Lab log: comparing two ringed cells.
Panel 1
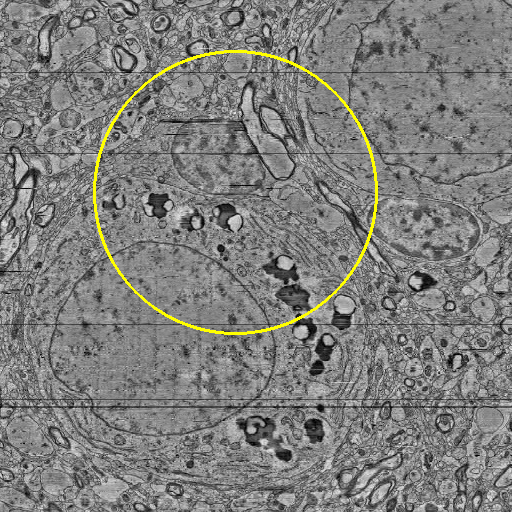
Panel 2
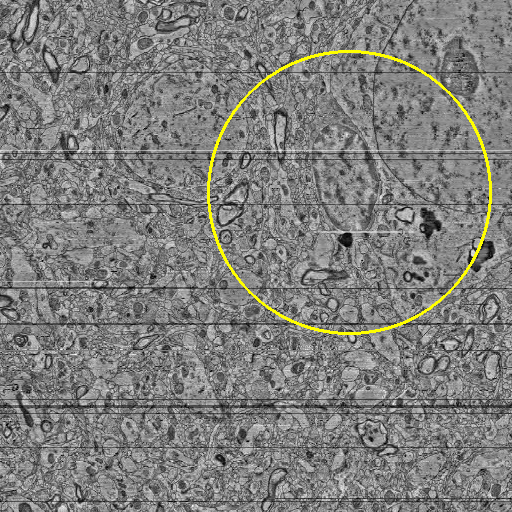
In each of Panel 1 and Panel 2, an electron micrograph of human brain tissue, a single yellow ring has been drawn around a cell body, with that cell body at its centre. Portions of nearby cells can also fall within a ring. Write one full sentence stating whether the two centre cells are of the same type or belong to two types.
The cells at the ring centres in Panel 1 and Panel 2 are of the same type.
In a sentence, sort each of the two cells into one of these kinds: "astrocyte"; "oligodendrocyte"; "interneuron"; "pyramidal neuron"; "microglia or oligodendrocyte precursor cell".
Both pictures show an oligodendrocyte at the centre of the ring.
